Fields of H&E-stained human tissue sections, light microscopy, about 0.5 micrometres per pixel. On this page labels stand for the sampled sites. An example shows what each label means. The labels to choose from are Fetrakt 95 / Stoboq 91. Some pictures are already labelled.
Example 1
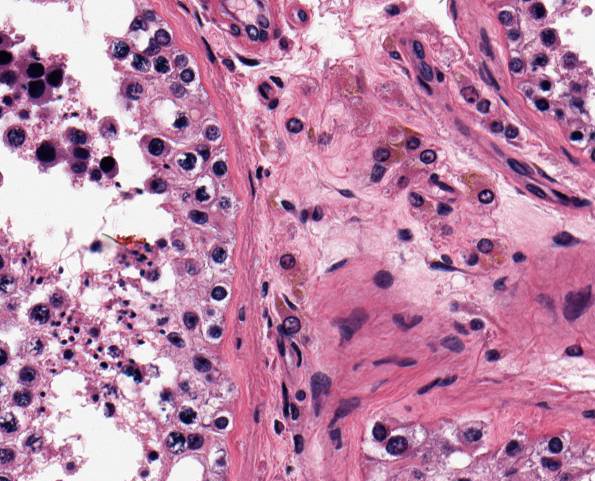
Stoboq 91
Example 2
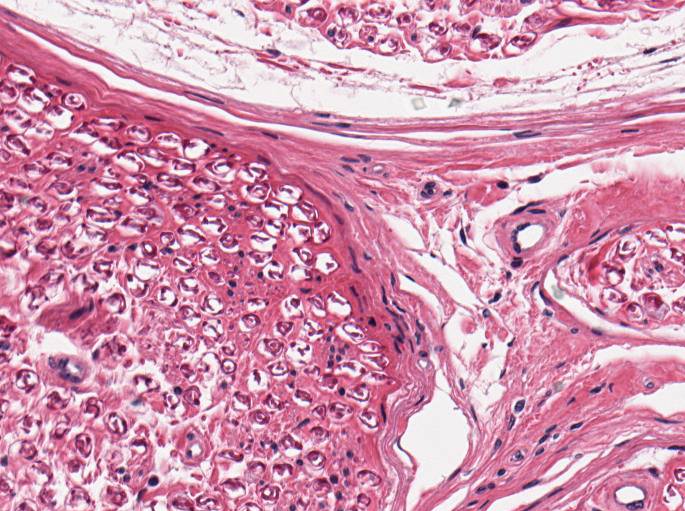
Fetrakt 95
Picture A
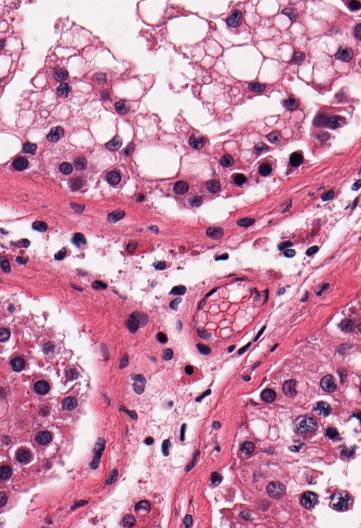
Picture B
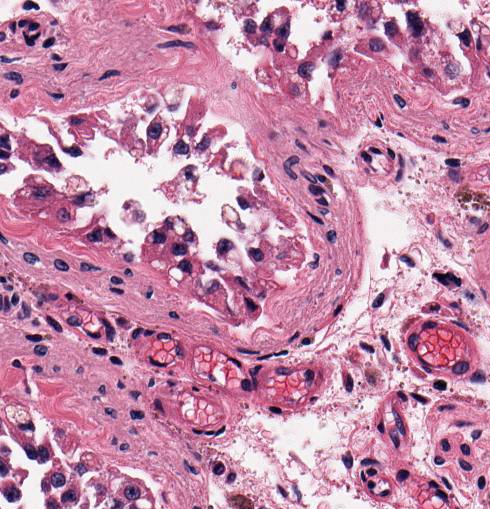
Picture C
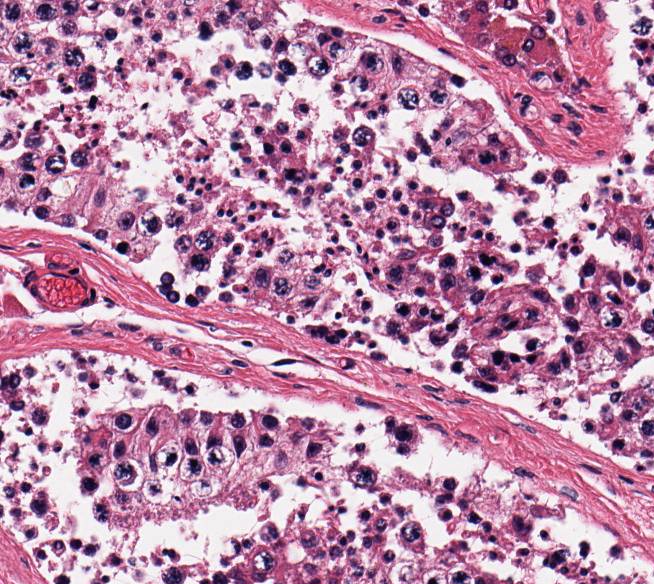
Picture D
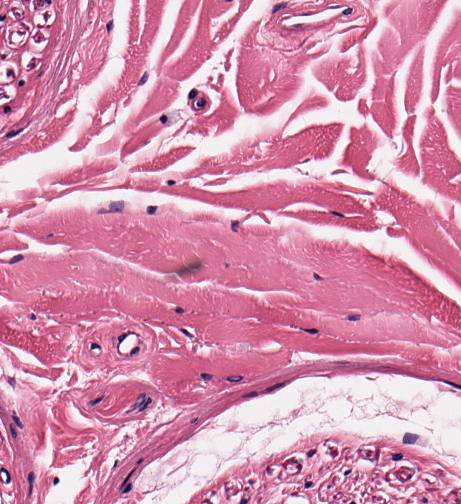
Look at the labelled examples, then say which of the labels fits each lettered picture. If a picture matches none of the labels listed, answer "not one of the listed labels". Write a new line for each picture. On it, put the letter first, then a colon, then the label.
A: Stoboq 91
B: Stoboq 91
C: Stoboq 91
D: Fetrakt 95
